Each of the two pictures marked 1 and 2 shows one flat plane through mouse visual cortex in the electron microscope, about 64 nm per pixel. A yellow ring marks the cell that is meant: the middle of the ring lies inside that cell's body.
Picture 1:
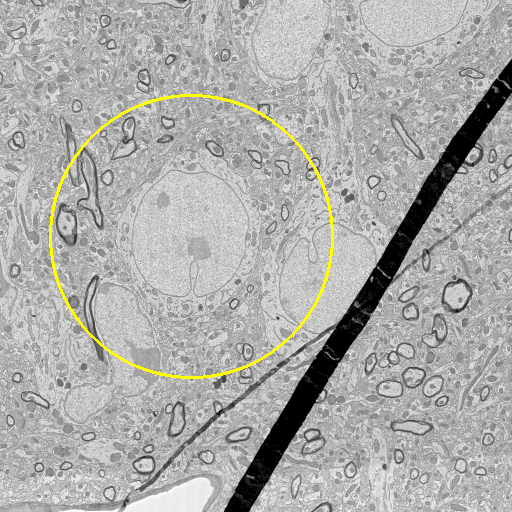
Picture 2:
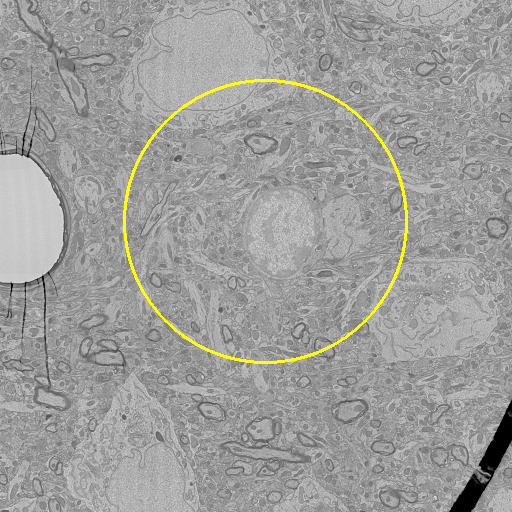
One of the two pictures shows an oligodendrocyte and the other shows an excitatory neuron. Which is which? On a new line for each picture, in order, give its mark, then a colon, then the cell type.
1: excitatory neuron
2: oligodendrocyte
